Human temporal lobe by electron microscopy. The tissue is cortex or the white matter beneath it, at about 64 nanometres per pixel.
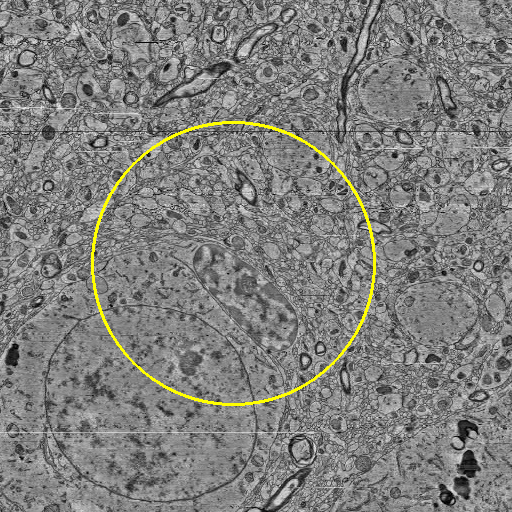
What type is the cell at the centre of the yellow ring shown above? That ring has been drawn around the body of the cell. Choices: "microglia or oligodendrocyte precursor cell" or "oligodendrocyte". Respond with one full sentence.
My answer is that a microglial cell or oligodendrocyte precursor cell lies at the centre of the yellow ring above.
